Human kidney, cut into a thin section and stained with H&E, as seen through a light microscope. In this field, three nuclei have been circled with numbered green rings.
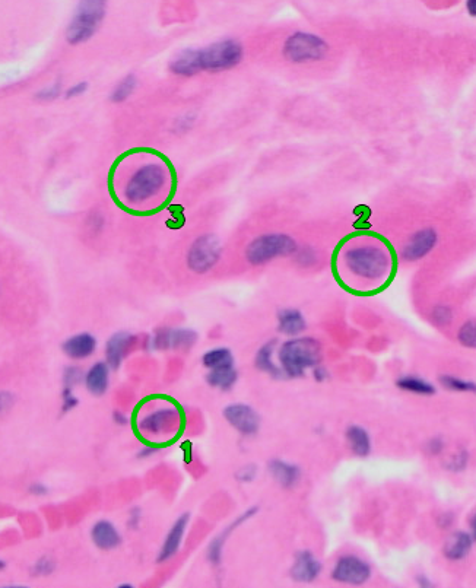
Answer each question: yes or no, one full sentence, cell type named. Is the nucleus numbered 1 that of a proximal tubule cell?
No, the cell labelled number 1 is not a proximal tubule cell; it is an endothelial cell.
